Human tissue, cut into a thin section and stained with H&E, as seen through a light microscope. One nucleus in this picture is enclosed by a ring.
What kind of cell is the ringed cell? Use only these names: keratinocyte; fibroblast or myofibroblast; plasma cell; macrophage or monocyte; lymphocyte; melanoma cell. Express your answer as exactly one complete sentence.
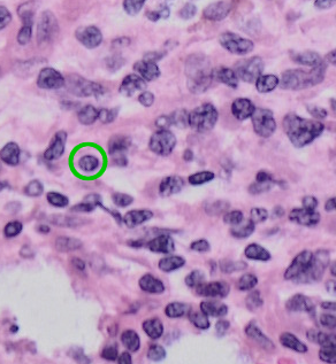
Typologically, the ringed cell is a lymphocyte in this section.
